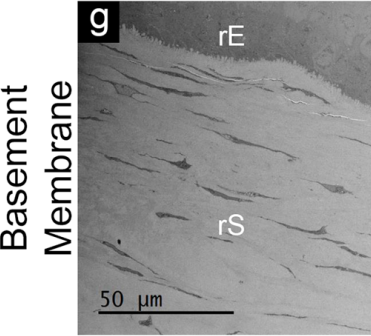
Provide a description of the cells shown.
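The basal border of the epithelium is wavy, with fine projections reaching down into the stroma. The stroma is made of pale sheets of matrix lying roughly parallel, separated by thin dark elongated profiles of flattened cells.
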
